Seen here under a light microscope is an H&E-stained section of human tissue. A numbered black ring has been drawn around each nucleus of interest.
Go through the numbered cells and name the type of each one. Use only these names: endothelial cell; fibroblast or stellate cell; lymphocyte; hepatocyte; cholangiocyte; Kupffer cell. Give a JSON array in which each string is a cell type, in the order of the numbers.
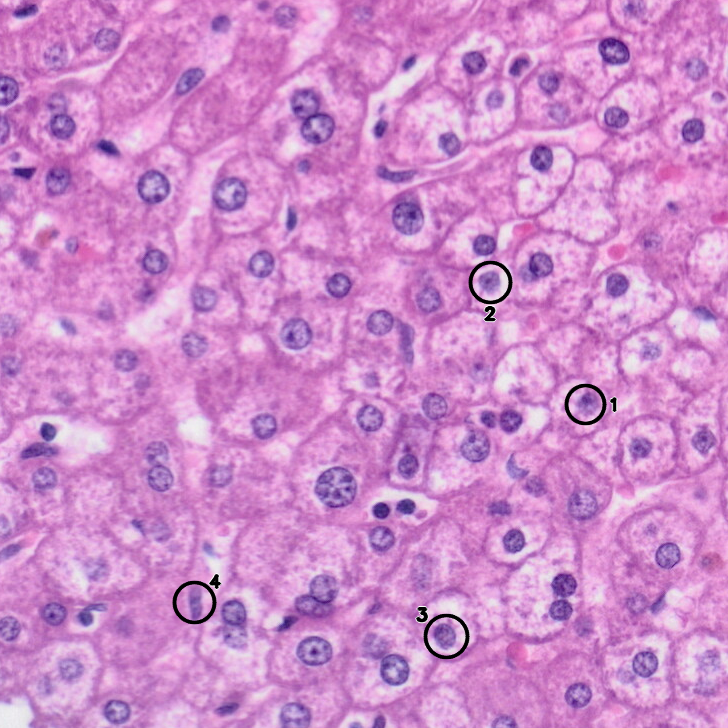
["hepatocyte", "hepatocyte", "hepatocyte", "Kupffer cell"]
